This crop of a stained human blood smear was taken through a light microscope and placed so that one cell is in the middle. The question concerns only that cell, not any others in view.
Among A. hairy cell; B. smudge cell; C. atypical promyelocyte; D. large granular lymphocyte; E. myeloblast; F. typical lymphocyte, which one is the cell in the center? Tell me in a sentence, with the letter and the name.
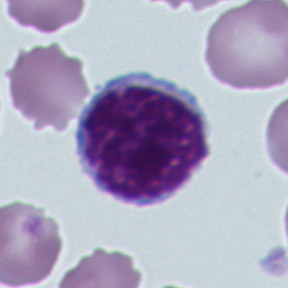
What sits in the middle of the crop is a typical lymphocyte, and option F is correct.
